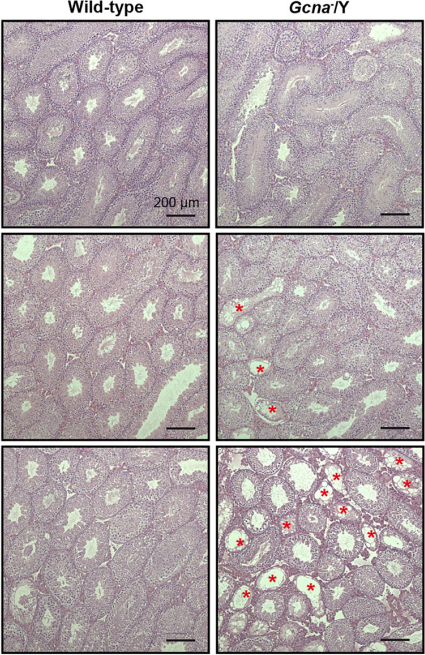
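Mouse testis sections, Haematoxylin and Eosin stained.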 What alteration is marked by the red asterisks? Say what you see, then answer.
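Sertoli Cells-Only seminiferous tubes. The tubules marked by asterisks have a thin, sparse cellular lining around a wide pale lumen. Unmarked tubules have a thick, many-layered epithelium filling much of the tubule.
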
